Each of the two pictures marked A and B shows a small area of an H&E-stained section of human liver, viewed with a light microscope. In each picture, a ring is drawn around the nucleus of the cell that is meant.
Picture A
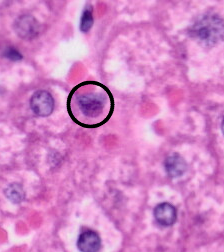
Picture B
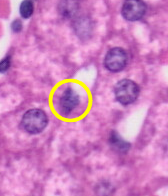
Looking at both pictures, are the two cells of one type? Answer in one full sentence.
Yes, both cells are endothelial cells.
